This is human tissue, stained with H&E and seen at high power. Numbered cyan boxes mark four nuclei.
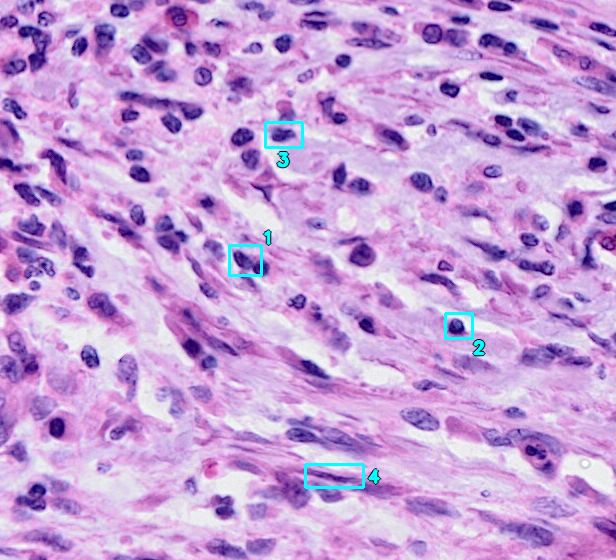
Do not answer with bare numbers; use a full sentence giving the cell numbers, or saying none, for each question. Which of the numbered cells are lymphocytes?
Identification: the cells with numbers 1, 2 and 3 are lymphocytes.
